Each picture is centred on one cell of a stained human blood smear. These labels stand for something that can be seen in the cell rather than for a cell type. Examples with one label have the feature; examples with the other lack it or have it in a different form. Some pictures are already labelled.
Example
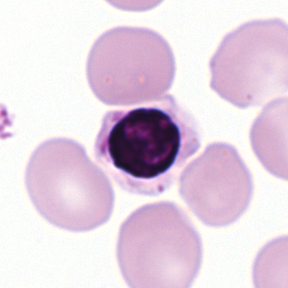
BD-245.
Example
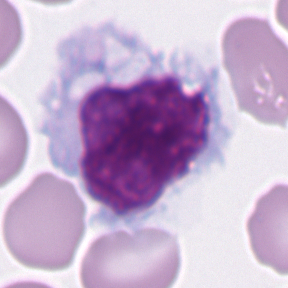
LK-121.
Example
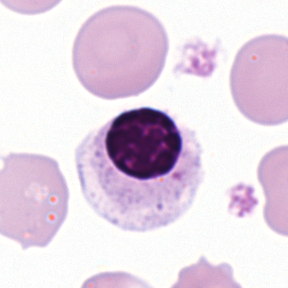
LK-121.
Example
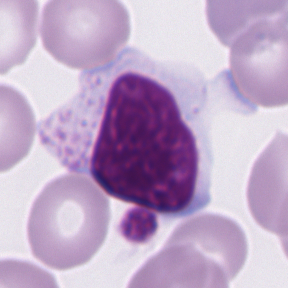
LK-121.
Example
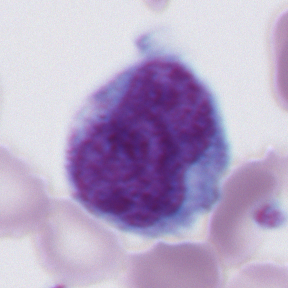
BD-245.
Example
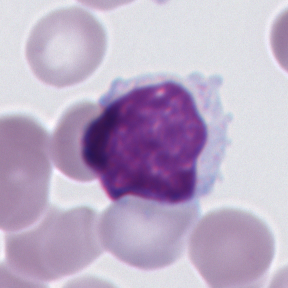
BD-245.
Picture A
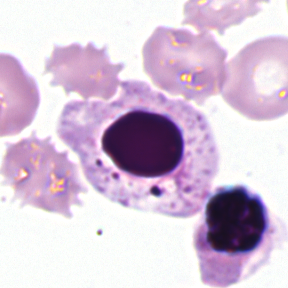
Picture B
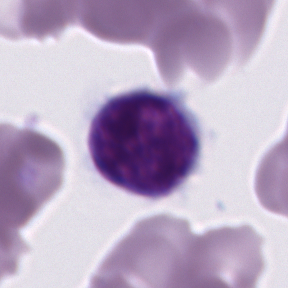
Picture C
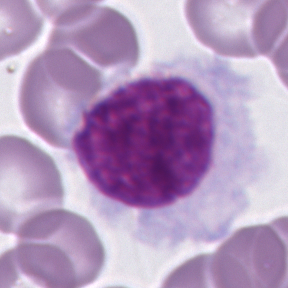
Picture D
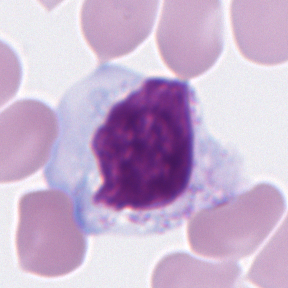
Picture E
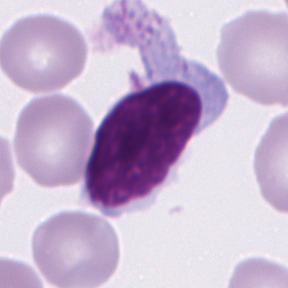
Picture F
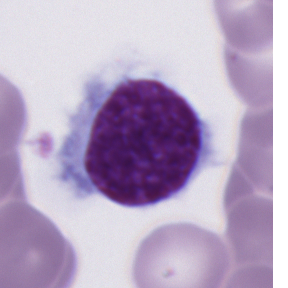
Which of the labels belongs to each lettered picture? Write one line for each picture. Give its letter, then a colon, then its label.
A: LK-121.
B: BD-245.
C: LK-121.
D: LK-121.
E: BD-245.
F: BD-245.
